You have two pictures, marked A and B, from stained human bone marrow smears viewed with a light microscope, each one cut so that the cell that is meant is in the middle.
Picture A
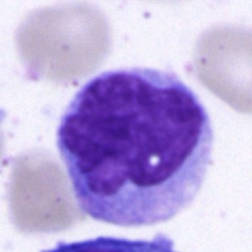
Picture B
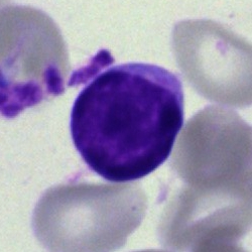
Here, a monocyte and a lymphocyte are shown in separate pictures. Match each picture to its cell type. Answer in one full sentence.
In picture A the cell is a monocyte; in picture B, a lymphocyte.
